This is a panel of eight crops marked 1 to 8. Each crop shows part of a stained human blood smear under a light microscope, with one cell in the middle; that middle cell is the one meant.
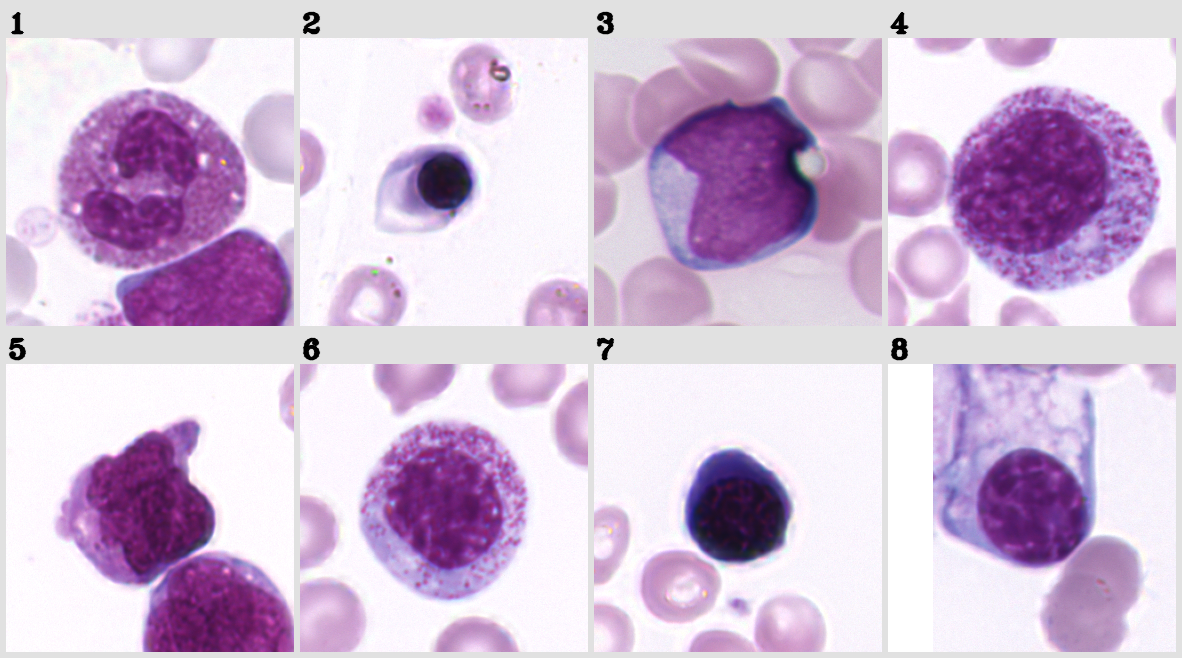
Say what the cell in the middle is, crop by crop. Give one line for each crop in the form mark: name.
1: eosinophil
2: normoblast
3: myeloblast
4: promyelocyte
5: atypical promyelocyte
6: myelocyte
7: normoblast
8: plasma cell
